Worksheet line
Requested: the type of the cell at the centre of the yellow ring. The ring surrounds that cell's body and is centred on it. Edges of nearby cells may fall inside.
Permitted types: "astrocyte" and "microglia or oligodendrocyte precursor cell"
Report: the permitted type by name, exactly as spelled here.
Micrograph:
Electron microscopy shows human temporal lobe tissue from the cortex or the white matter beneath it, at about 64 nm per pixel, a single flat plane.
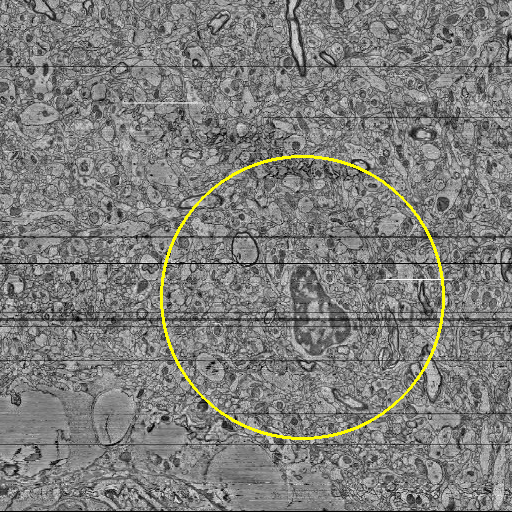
microglia or oligodendrocyte precursor cell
